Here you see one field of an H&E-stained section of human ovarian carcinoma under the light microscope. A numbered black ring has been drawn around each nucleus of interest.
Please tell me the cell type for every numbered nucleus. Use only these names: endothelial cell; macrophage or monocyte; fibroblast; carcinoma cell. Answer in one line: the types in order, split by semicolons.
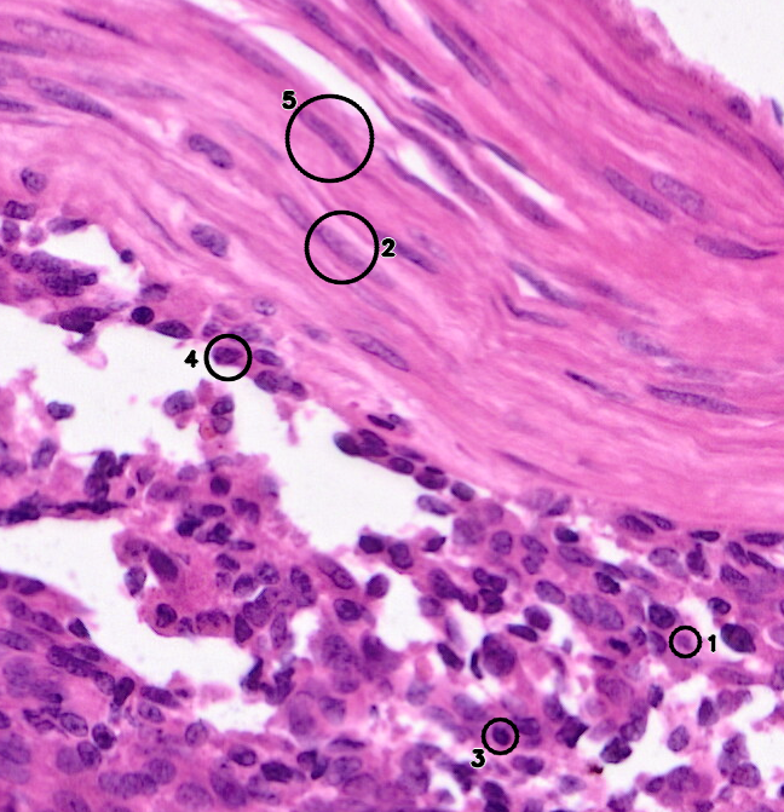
macrophage or monocyte; fibroblast; carcinoma cell; carcinoma cell; fibroblast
